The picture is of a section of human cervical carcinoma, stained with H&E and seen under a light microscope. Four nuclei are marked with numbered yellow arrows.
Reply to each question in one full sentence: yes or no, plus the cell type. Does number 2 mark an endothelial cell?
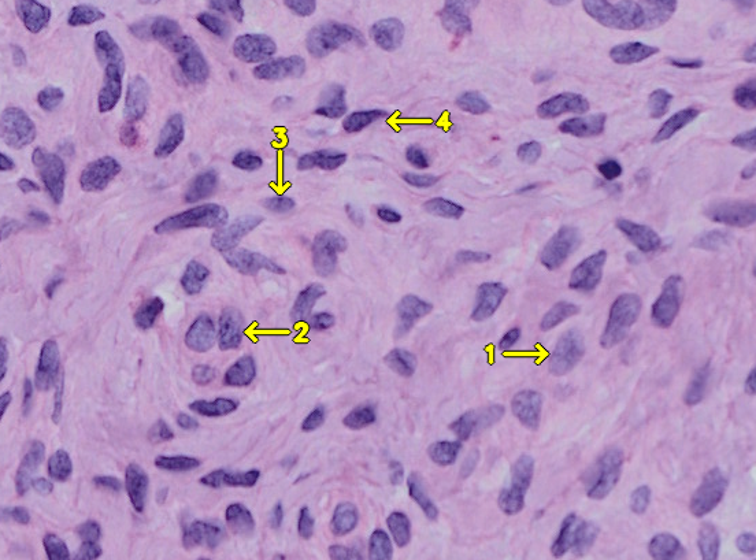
Yes, the cell tagged with the number 2 is an endothelial cell.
